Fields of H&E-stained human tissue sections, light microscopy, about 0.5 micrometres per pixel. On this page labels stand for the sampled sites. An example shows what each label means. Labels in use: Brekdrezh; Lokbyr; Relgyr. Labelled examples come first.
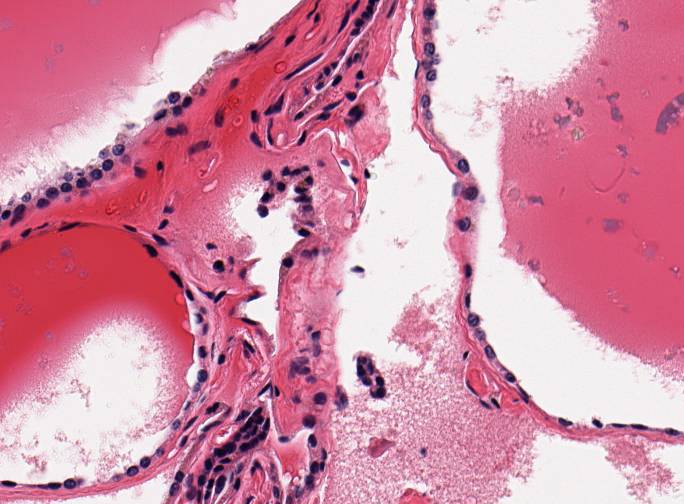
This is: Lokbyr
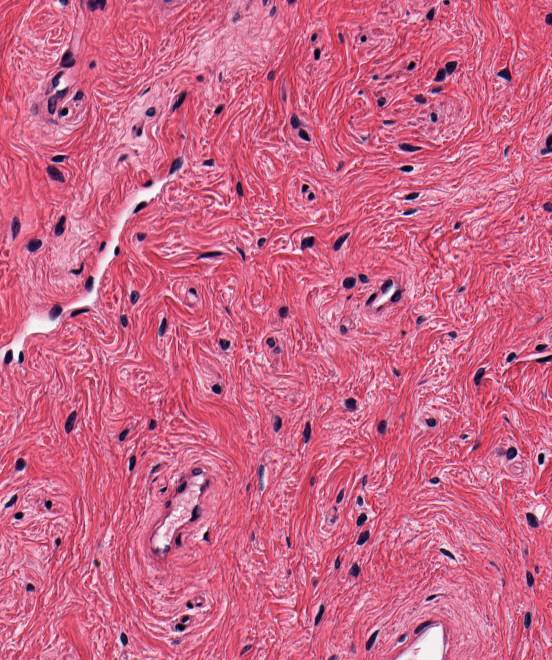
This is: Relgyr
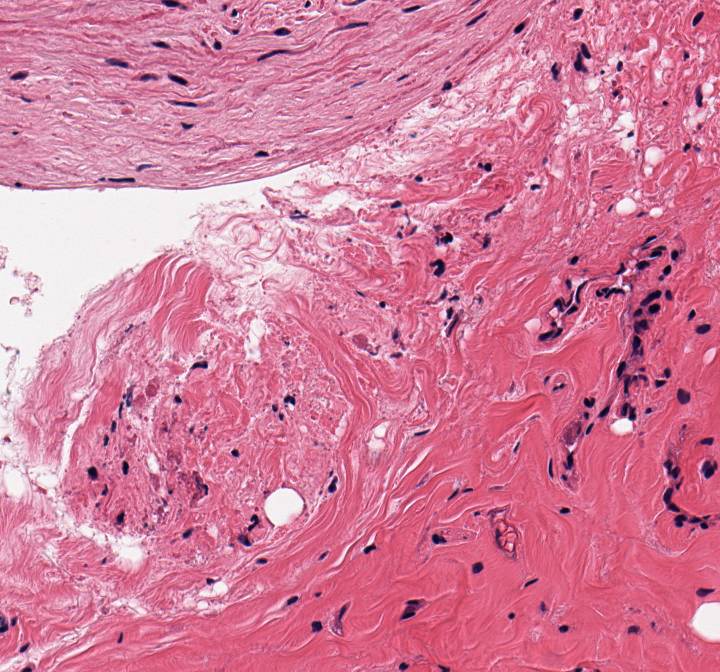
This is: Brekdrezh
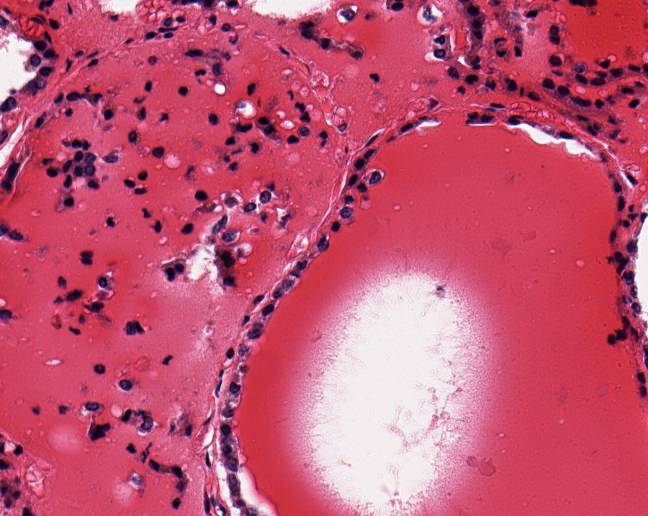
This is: Lokbyr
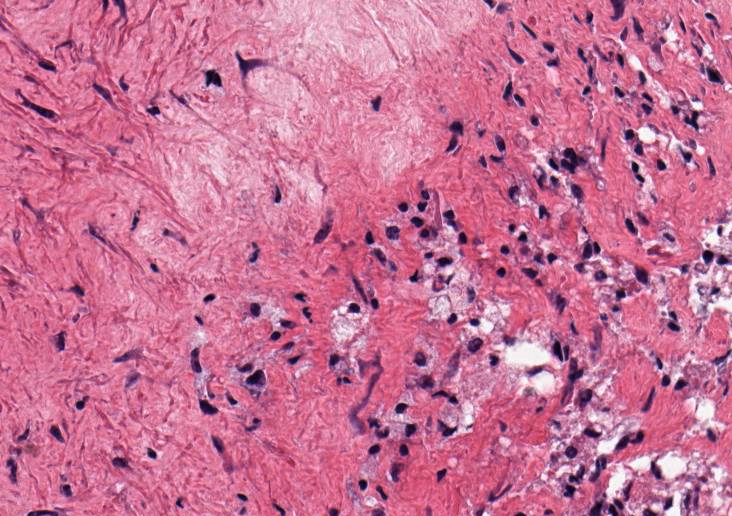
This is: Brekdrezh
